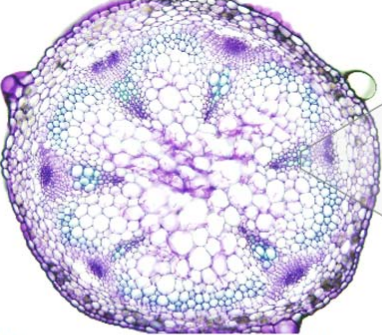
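This round cross section of a plant stem shows a ring of separate vascular bundles set in pale ground tissue. Each bundle has a fan of blue-green, thick-walled cells with open lumens facing the centre, which is the xylem, and a small cluster of tiny, densely purple cells facing outward, which is the phloem. Between bundles runs a fainter band of bluish cells. The centre is filled with large, thin-walled, pale purple cells of the pith, and a few layers of smaller cells with a thin outer cell layer bound the section at its edge.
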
